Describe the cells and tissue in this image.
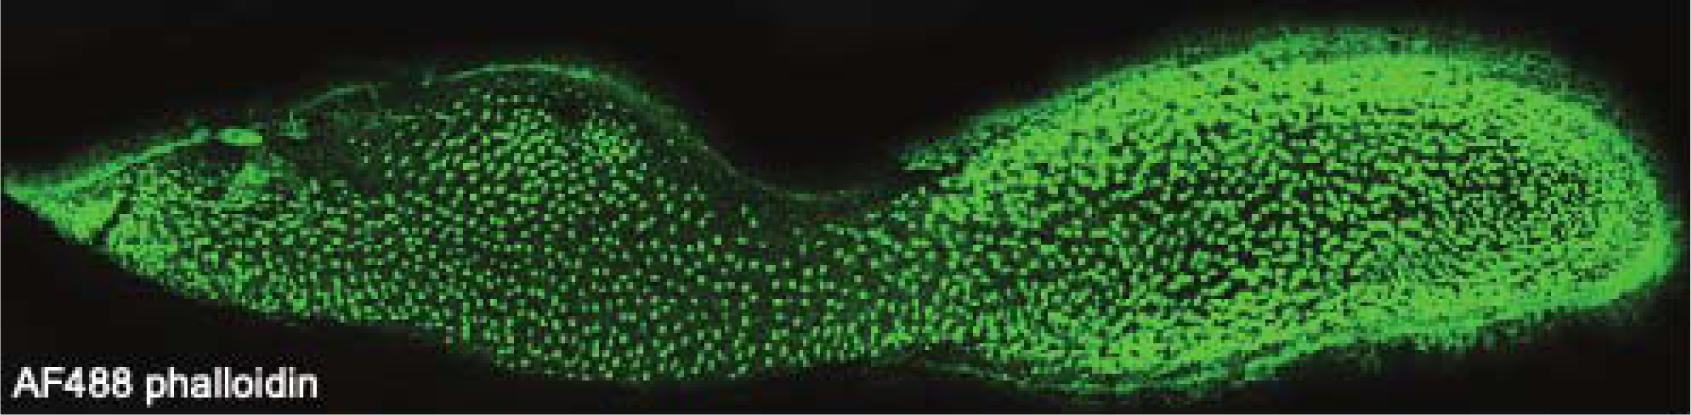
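This is a flat view of the sensory epithelium of the saccule of the inner ear, densely covered by hair cells. The epithelium is long and curved, with a smaller lobe at one end, a narrow waist in the middle and a broader, rounded lobe at the other end. In the smaller lobe the dots are more sharply separated and look more orderly. In the broader lobe they are more crowded and less regular, and the edge of the sheet glows more brightly.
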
